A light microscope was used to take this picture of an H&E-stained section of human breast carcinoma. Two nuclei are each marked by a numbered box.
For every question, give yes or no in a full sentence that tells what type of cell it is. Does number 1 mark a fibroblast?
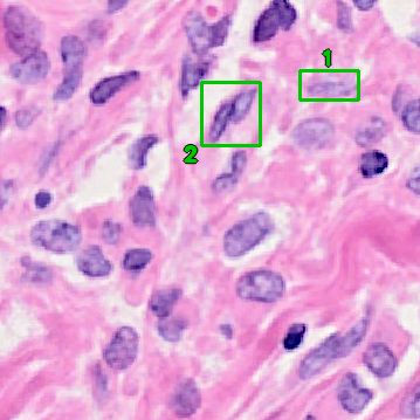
Yes, the cell shown as number 1 is a fibroblast.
